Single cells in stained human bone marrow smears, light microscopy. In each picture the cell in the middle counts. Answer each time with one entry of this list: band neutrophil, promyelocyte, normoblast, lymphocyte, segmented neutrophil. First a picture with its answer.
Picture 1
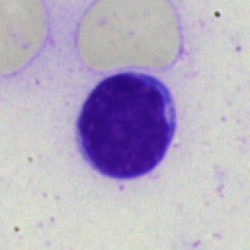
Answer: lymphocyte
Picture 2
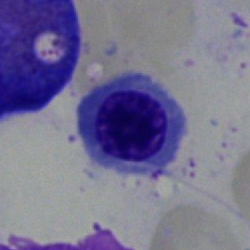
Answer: normoblast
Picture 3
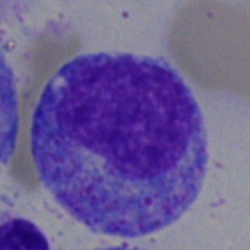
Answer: promyelocyte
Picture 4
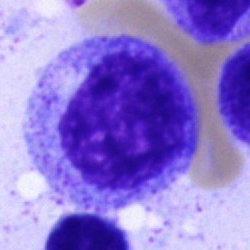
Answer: promyelocyte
